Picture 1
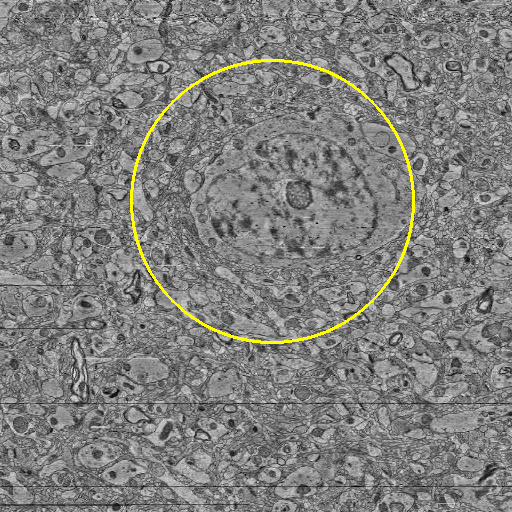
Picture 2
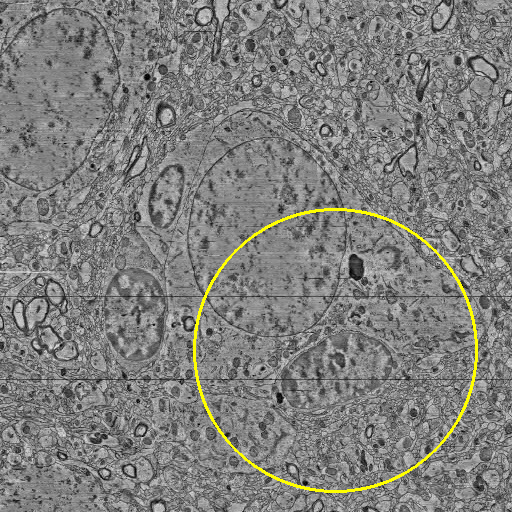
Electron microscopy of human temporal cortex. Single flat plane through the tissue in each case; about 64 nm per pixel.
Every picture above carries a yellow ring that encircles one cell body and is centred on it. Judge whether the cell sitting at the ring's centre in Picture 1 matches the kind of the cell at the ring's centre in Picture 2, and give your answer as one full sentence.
No, the cells centred in the rings of Pictures 1 and 2 belong to two kinds.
